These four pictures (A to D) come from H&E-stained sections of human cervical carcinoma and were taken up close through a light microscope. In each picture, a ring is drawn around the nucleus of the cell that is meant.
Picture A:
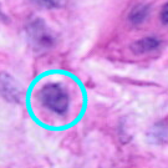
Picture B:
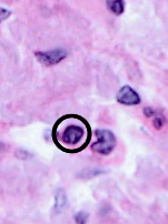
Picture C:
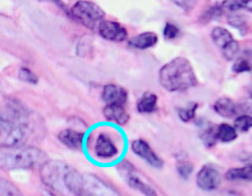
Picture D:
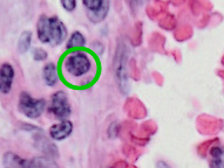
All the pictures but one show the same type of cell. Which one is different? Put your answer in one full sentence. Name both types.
All pictures except A show lymphocytes; picture A shows a “macrophage or monocyte”.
